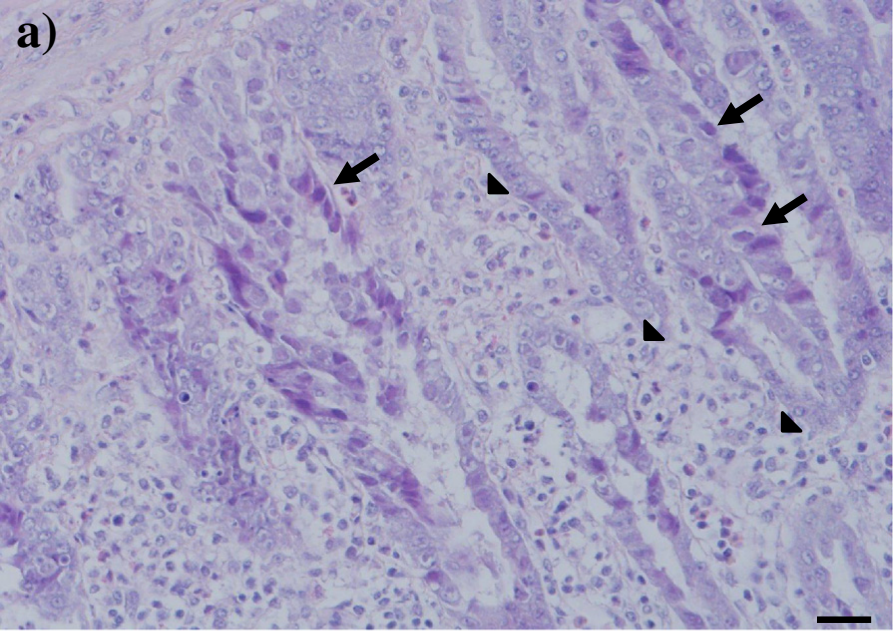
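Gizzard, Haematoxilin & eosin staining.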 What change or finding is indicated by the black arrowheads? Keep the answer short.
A: mixed population of inflammatory cells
